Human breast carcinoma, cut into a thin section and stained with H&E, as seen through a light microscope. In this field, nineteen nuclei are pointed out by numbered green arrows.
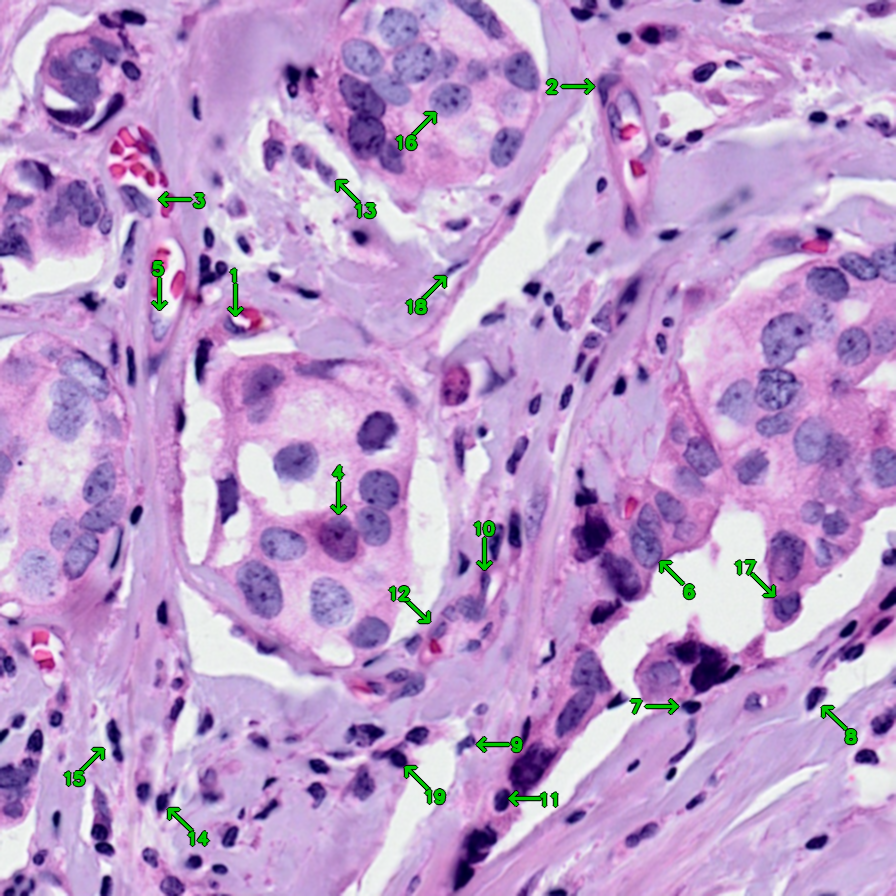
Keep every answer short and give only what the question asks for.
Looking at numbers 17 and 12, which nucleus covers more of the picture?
17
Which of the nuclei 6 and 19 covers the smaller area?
19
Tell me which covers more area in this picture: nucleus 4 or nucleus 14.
4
